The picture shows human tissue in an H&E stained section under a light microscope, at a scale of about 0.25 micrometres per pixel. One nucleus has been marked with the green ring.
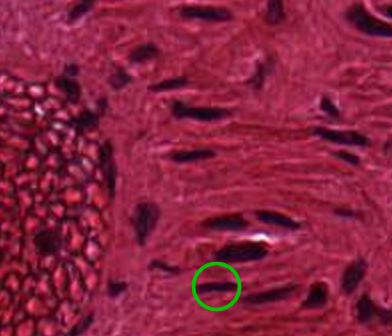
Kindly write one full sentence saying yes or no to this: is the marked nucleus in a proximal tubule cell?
No, the nucleus that carries the marker is not part of a proximal tubule cell.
